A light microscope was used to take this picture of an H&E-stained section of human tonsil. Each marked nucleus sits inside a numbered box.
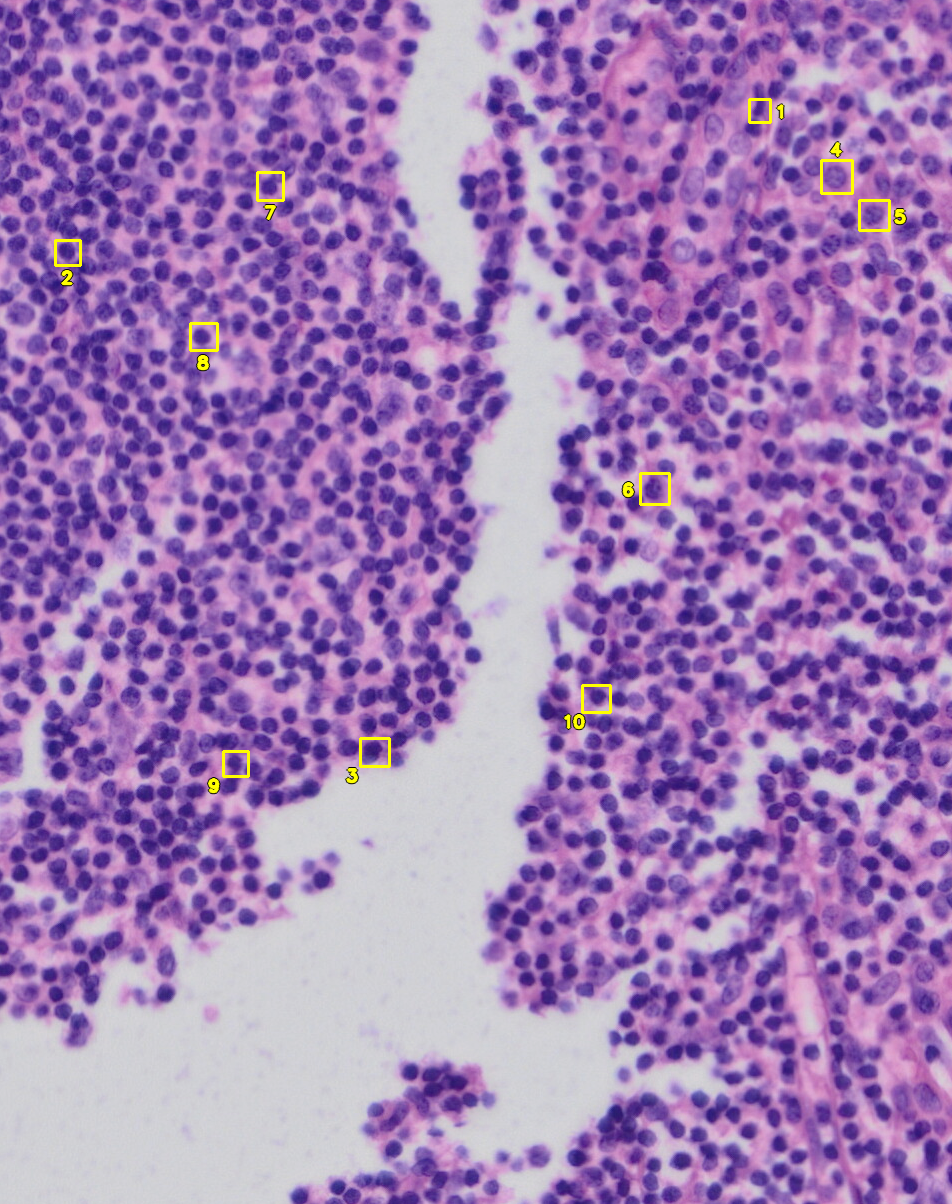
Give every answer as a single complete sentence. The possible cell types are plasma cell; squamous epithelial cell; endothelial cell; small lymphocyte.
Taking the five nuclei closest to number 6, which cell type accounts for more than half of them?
Of the five nuclei nearest to number 6, most belong to small lymphocytes.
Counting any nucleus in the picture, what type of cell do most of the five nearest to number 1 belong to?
Endothelial cells account for more than half of the five nuclei nearest to number 1.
